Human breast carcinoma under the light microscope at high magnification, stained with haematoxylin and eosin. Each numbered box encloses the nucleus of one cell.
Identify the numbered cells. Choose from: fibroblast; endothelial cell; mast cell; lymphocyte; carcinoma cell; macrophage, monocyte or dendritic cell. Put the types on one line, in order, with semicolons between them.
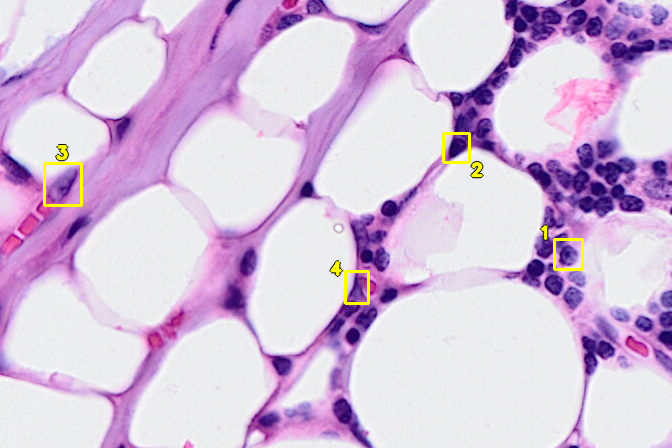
lymphocyte; lymphocyte; endothelial cell; endothelial cell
